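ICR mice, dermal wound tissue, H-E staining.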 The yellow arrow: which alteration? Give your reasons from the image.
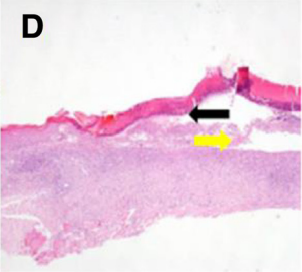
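Open area. The arrow points at a cleft between the detached surface layer and the granulation tissue below.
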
